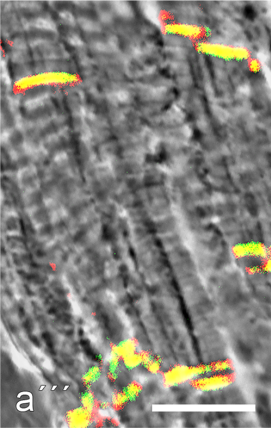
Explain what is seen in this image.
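This is cardiac muscle in which striated muscle cells run diagonally, their cross-striations visible in the grey phase contrast background. Bright yellow bands, partly fringed in red or green, cross the cells at right angles to their long axis at the places where one cell abuts the next. Some of these bands are straight, others stepped and irregular.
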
